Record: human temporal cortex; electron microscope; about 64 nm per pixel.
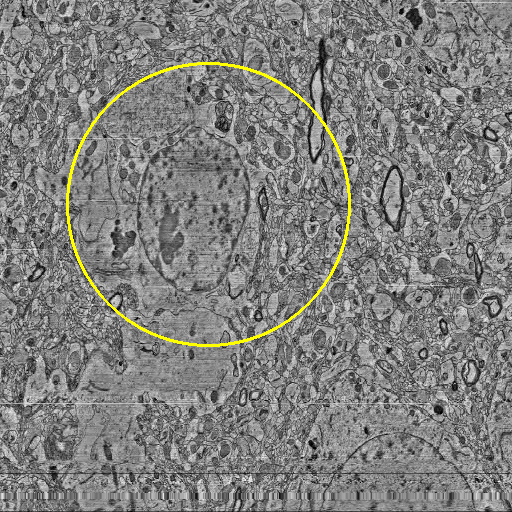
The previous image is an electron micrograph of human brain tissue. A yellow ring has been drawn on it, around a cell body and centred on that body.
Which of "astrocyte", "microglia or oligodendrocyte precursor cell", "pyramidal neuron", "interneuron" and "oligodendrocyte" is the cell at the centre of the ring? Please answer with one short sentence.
The cell body at the centre of the ring belongs to an astrocyte.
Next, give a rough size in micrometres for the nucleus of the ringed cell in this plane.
In this plane the nucleus spans approximately 11 by 7 micrometers.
